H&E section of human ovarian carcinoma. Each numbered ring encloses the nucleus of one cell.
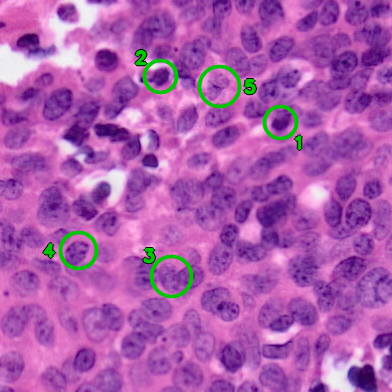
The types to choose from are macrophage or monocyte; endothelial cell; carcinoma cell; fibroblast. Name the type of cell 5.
macrophage or monocyte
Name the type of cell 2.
carcinoma cell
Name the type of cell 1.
carcinoma cell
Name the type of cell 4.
macrophage or monocyte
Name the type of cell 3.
carcinoma cell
